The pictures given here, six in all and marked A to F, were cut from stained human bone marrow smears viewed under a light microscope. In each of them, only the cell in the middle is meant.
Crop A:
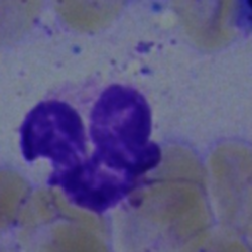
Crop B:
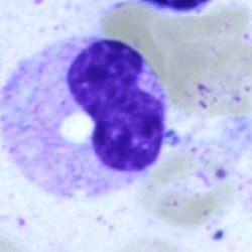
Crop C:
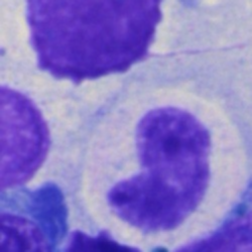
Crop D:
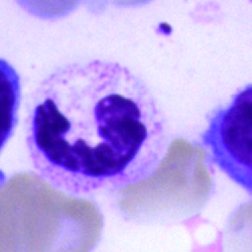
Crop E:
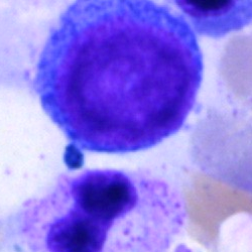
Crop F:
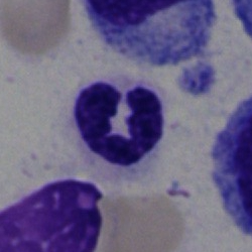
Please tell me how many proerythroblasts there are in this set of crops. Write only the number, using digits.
1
